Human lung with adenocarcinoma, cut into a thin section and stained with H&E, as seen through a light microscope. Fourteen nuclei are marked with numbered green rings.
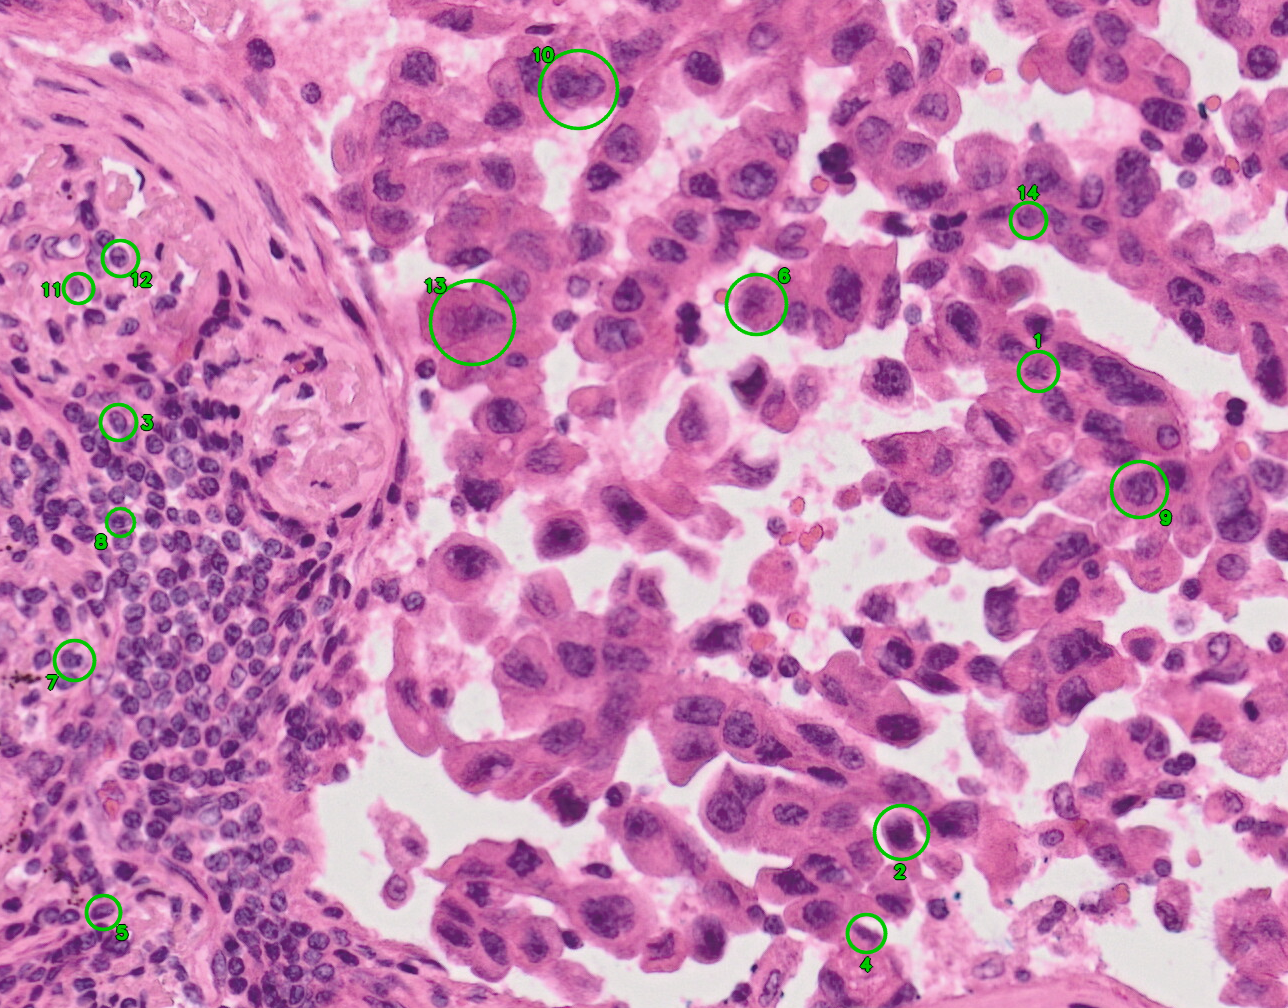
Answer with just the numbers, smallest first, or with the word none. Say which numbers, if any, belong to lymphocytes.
3, 5, 7, 8, 11, 12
